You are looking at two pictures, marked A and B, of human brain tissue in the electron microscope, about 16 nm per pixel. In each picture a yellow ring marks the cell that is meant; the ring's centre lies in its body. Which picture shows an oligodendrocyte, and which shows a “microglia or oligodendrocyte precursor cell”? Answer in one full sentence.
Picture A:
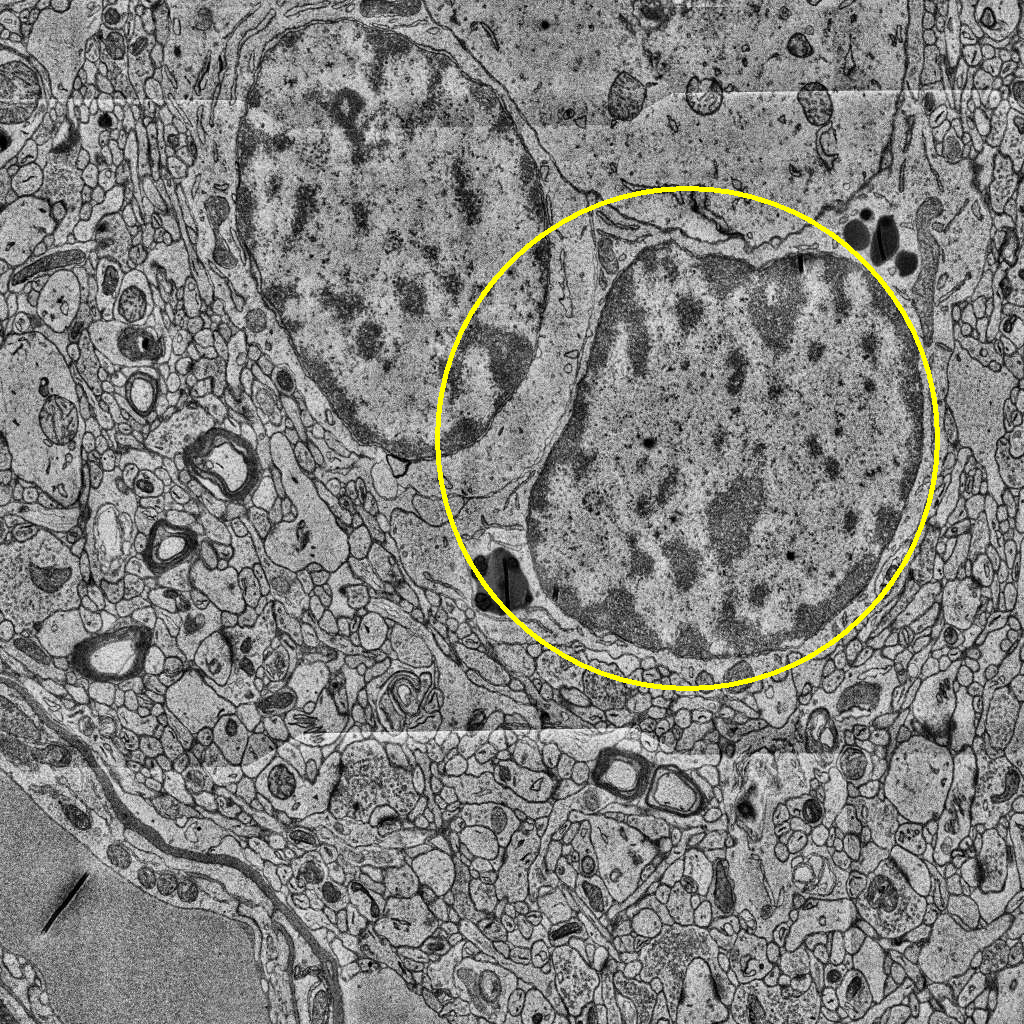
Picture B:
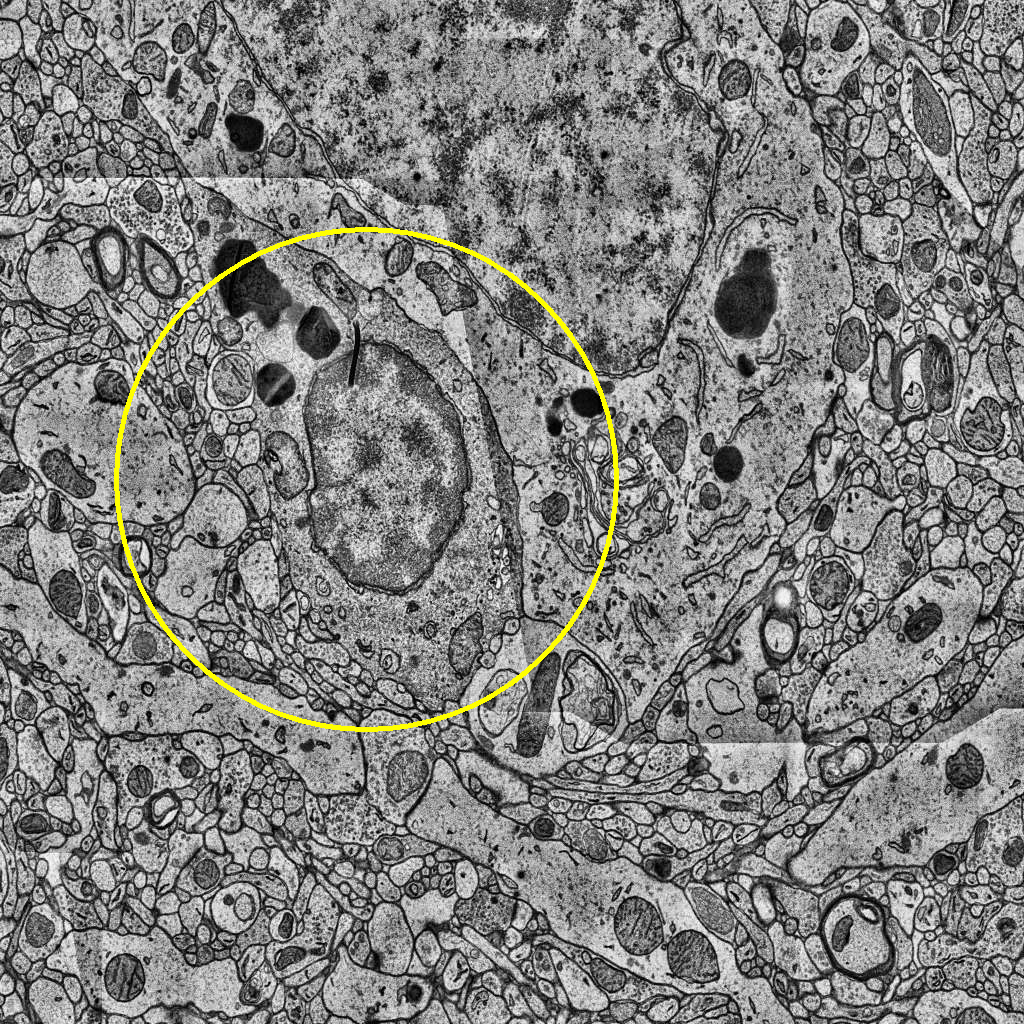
Picture A is of a “microglia or oligodendrocyte precursor cell”, and picture B is of an oligodendrocyte.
